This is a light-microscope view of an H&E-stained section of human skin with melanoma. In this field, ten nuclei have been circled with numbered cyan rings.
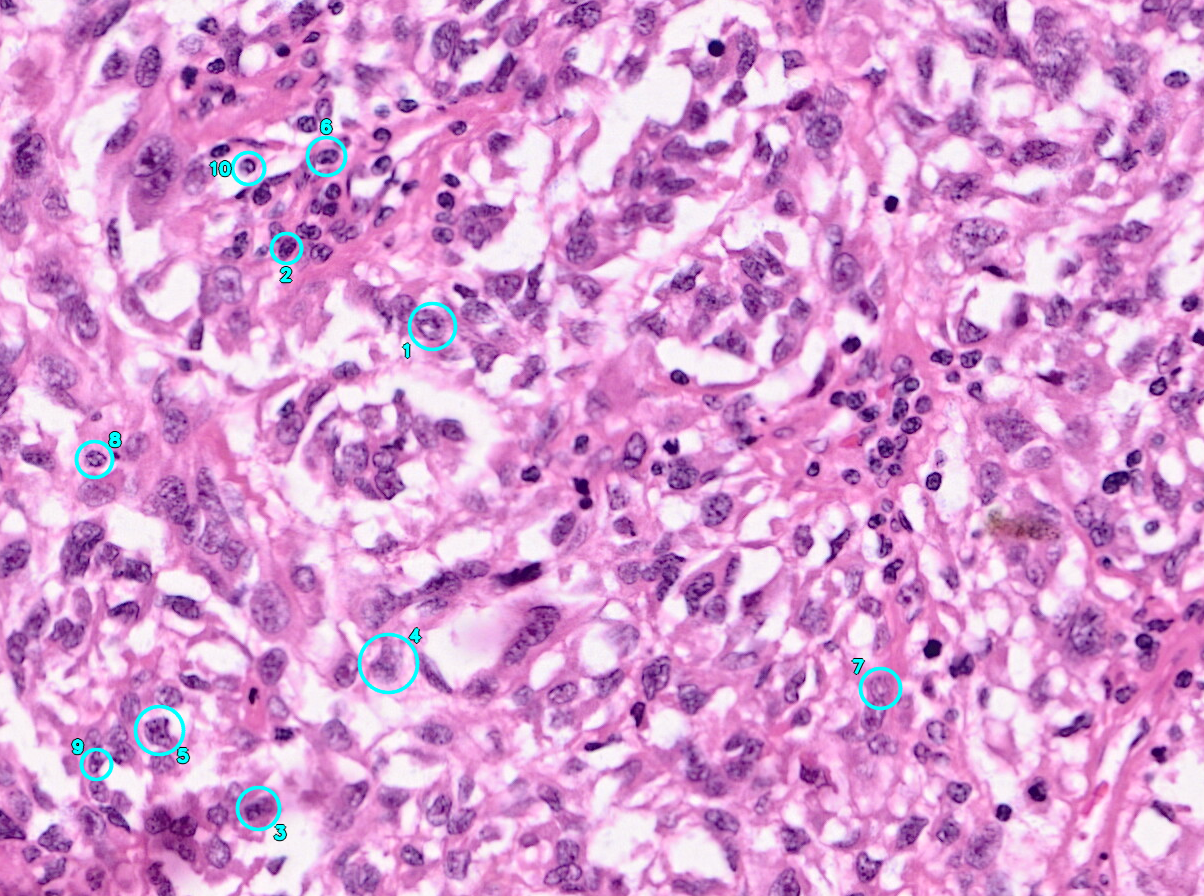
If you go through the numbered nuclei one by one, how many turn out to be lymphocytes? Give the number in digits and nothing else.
4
